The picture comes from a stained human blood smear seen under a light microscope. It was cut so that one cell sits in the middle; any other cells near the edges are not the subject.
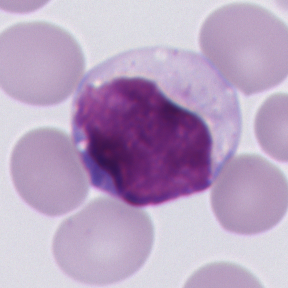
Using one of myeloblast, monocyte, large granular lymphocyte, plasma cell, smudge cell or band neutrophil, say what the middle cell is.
large granular lymphocyte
